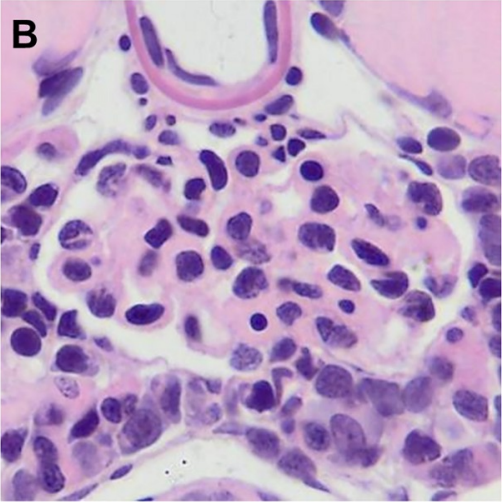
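This section shows a larval glomerulus set below the notochord, made of capillary loops covered by podocytes and surrounded by Bowman's space. The lower curve of the notochord, with its thick pink sheath, forms the top of the field, and small dark nuclei cluster beneath it. The glomerular tuft fills the centre as a rounded mass of pink, thin-walled loops. Oval, deep purple nuclei lie scattered over and between the loops. A clear white space separates the tuft from a thin pink outer lining, beyond which lie tightly packed cells with larger, paler nuclei.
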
